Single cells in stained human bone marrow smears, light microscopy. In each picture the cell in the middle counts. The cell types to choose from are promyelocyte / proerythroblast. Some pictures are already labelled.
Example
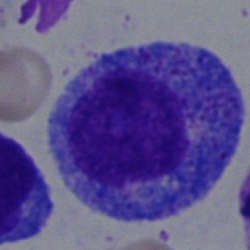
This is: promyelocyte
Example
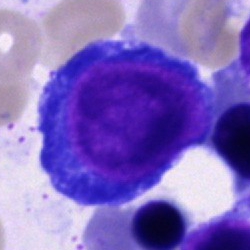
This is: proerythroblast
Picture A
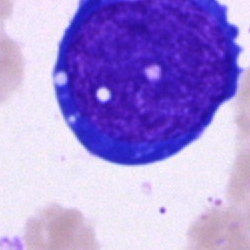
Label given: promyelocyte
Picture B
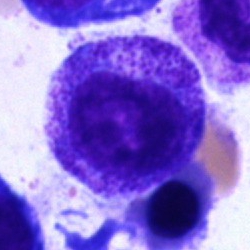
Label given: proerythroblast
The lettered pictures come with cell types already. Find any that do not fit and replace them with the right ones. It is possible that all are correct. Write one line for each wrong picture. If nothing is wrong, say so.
Wrong: A (promyelocyte); correct: proerythroblast
Wrong: B (proerythroblast); correct: promyelocyte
